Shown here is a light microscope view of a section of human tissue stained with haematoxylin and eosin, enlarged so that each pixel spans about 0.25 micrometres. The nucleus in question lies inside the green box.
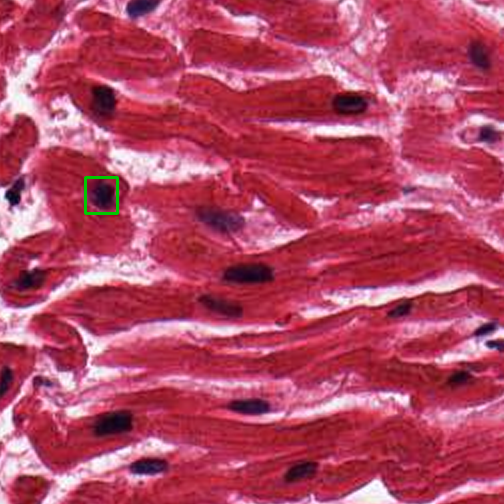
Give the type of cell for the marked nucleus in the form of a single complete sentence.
Within the picture, the marked nucleus belongs to a cardiomyocyte.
